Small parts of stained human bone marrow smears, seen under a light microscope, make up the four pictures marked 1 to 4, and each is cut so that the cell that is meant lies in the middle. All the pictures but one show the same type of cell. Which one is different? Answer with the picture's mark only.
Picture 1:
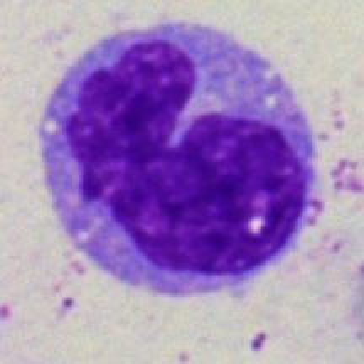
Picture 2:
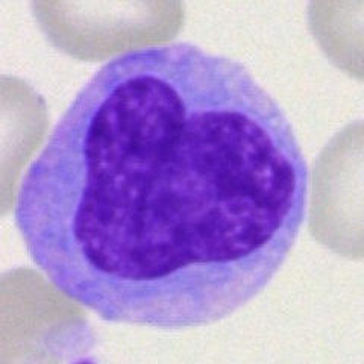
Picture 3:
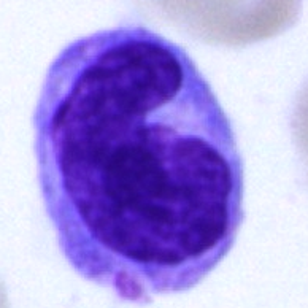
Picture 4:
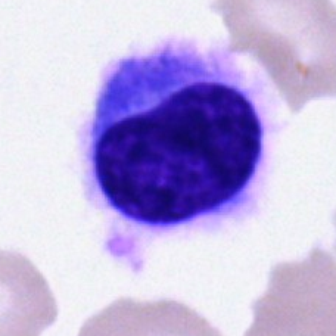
4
